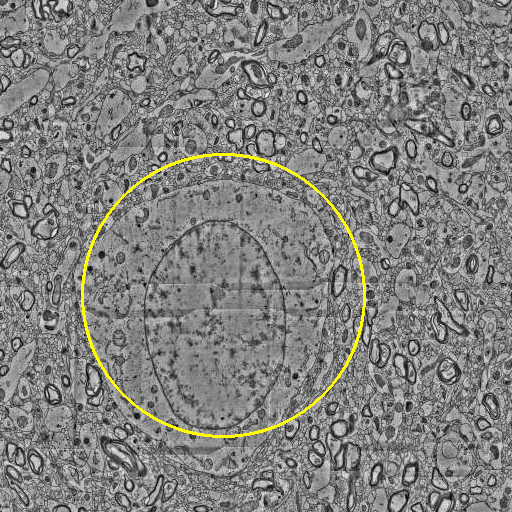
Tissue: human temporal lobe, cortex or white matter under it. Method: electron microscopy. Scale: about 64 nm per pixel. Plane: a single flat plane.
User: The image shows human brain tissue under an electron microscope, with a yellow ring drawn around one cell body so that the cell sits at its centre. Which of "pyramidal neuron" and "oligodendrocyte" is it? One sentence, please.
At the centre of the ring sits a pyramidal neuron.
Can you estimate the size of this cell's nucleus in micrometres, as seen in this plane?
The ringed cell's nucleus measures approximately 13 by 9 micrometres in this plane.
